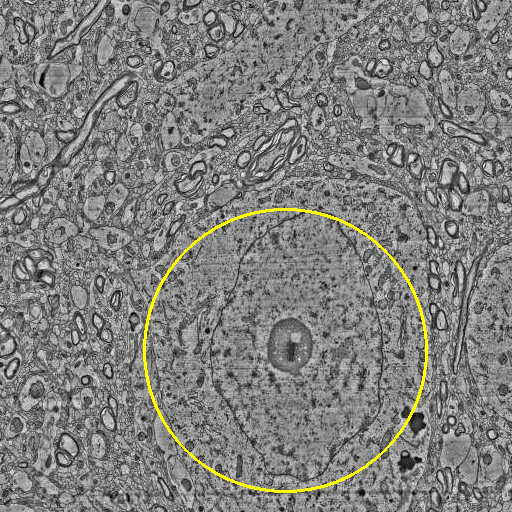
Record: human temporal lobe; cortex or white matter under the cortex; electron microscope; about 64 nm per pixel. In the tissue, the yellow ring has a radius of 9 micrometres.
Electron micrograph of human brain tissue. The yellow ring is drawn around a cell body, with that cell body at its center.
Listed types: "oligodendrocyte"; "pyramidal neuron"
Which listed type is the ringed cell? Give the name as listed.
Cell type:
pyramidal neuron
